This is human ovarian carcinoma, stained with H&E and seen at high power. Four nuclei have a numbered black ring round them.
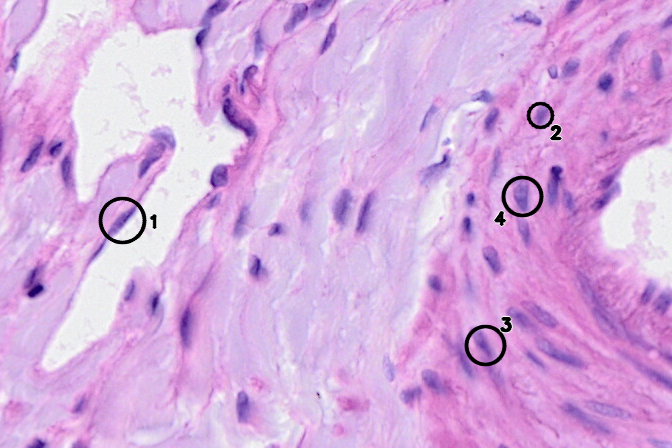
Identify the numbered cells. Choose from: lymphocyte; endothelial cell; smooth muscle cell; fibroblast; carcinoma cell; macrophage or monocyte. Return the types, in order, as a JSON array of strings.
["endothelial cell", "smooth muscle cell", "smooth muscle cell", "smooth muscle cell"]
